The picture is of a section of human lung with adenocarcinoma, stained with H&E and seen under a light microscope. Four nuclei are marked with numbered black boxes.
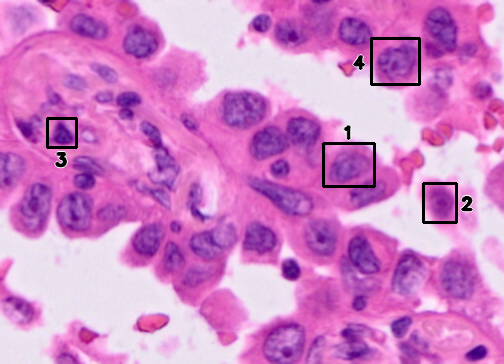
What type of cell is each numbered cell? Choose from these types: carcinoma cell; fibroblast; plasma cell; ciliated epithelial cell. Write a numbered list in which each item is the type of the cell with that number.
1. carcinoma cell
2. carcinoma cell
3. plasma cell
4. carcinoma cell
